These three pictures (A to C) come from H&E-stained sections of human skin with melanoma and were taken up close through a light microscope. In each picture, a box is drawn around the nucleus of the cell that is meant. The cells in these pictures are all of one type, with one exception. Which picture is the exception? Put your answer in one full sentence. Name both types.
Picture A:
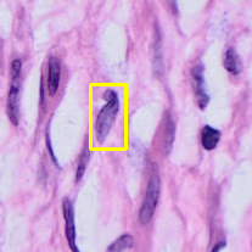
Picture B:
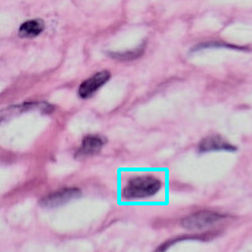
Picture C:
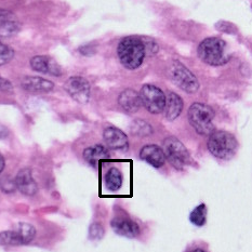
Unlike the rest, which show “macrophages or monocytes”, picture C shows a lymphocyte.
